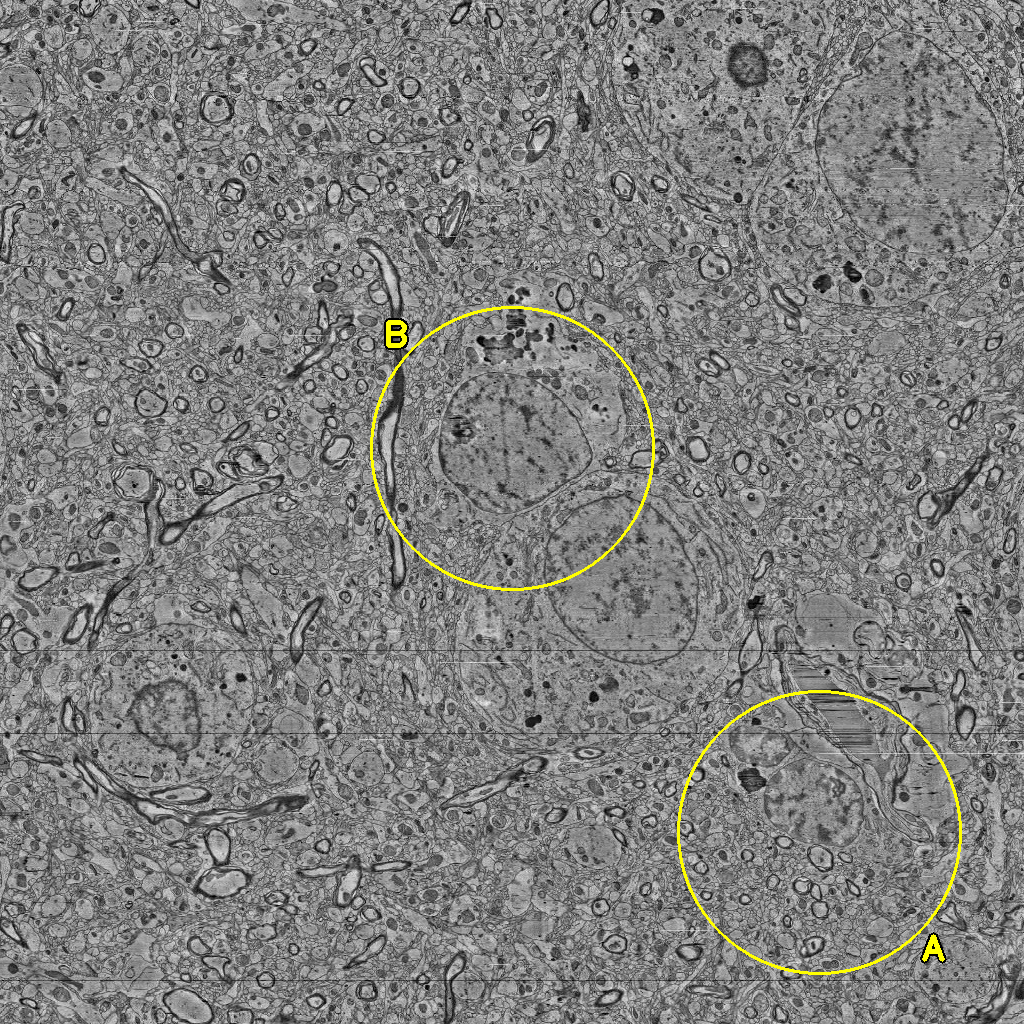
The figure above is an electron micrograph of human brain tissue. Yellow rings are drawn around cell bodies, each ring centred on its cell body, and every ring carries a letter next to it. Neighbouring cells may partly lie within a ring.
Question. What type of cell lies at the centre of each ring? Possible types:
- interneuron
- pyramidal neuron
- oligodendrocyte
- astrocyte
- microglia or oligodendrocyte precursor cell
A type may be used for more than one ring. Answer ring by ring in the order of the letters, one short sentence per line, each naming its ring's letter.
In ring A, the central cell is an oligodendrocyte.
In ring B, the central cell is an astrocyte.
